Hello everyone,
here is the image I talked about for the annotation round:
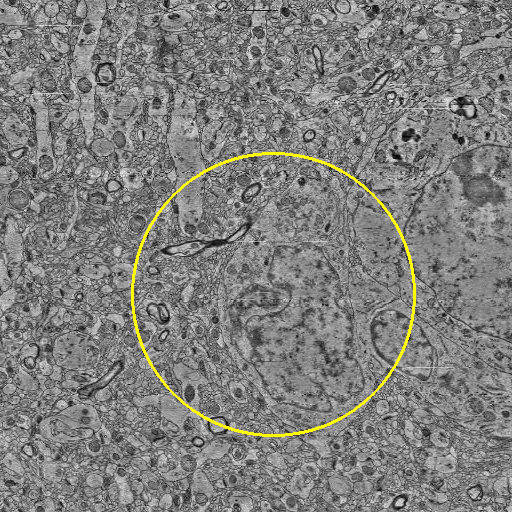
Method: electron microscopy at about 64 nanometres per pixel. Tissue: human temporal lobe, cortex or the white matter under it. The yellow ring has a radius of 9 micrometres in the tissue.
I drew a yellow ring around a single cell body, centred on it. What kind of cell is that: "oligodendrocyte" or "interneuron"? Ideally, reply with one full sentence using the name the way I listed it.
The cell your yellow ring is centred on is an interneuron, going by your list.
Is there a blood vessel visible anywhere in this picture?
No, none shows.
